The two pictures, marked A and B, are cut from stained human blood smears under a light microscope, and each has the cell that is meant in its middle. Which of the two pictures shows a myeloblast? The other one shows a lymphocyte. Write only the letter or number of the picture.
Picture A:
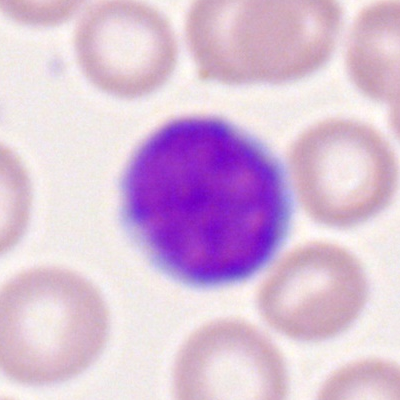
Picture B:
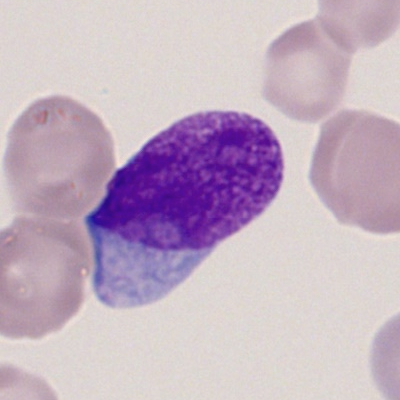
B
